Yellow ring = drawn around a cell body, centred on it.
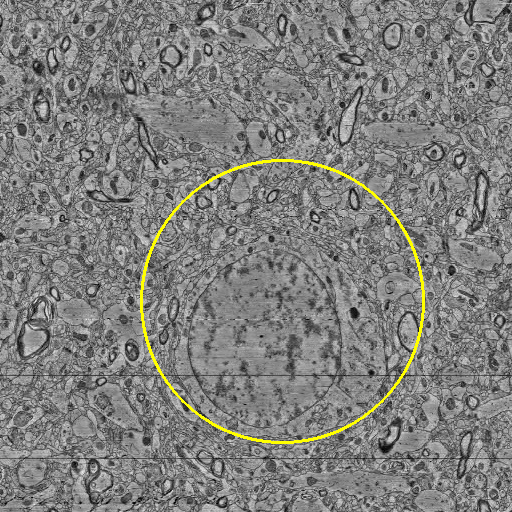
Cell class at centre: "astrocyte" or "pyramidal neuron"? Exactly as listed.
pyramidal neuron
